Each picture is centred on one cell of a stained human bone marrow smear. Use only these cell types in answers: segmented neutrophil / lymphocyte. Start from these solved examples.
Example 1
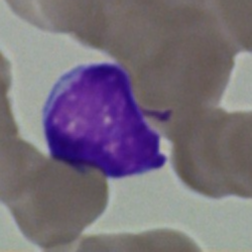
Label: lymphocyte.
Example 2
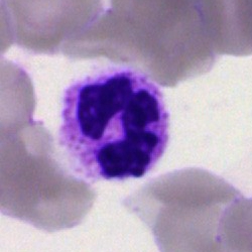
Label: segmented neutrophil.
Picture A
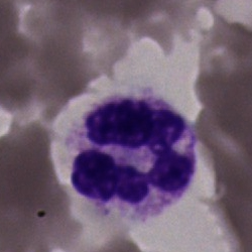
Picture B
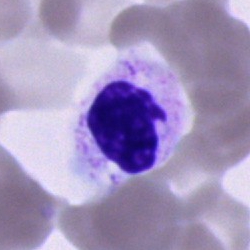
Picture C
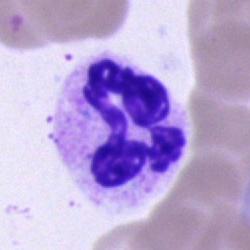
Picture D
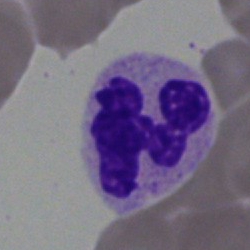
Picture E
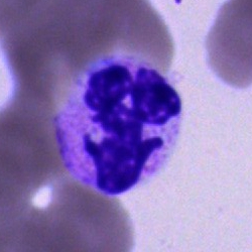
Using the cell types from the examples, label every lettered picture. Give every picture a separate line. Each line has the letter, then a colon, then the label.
A: segmented neutrophil.
B: segmented neutrophil.
C: segmented neutrophil.
D: segmented neutrophil.
E: segmented neutrophil.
